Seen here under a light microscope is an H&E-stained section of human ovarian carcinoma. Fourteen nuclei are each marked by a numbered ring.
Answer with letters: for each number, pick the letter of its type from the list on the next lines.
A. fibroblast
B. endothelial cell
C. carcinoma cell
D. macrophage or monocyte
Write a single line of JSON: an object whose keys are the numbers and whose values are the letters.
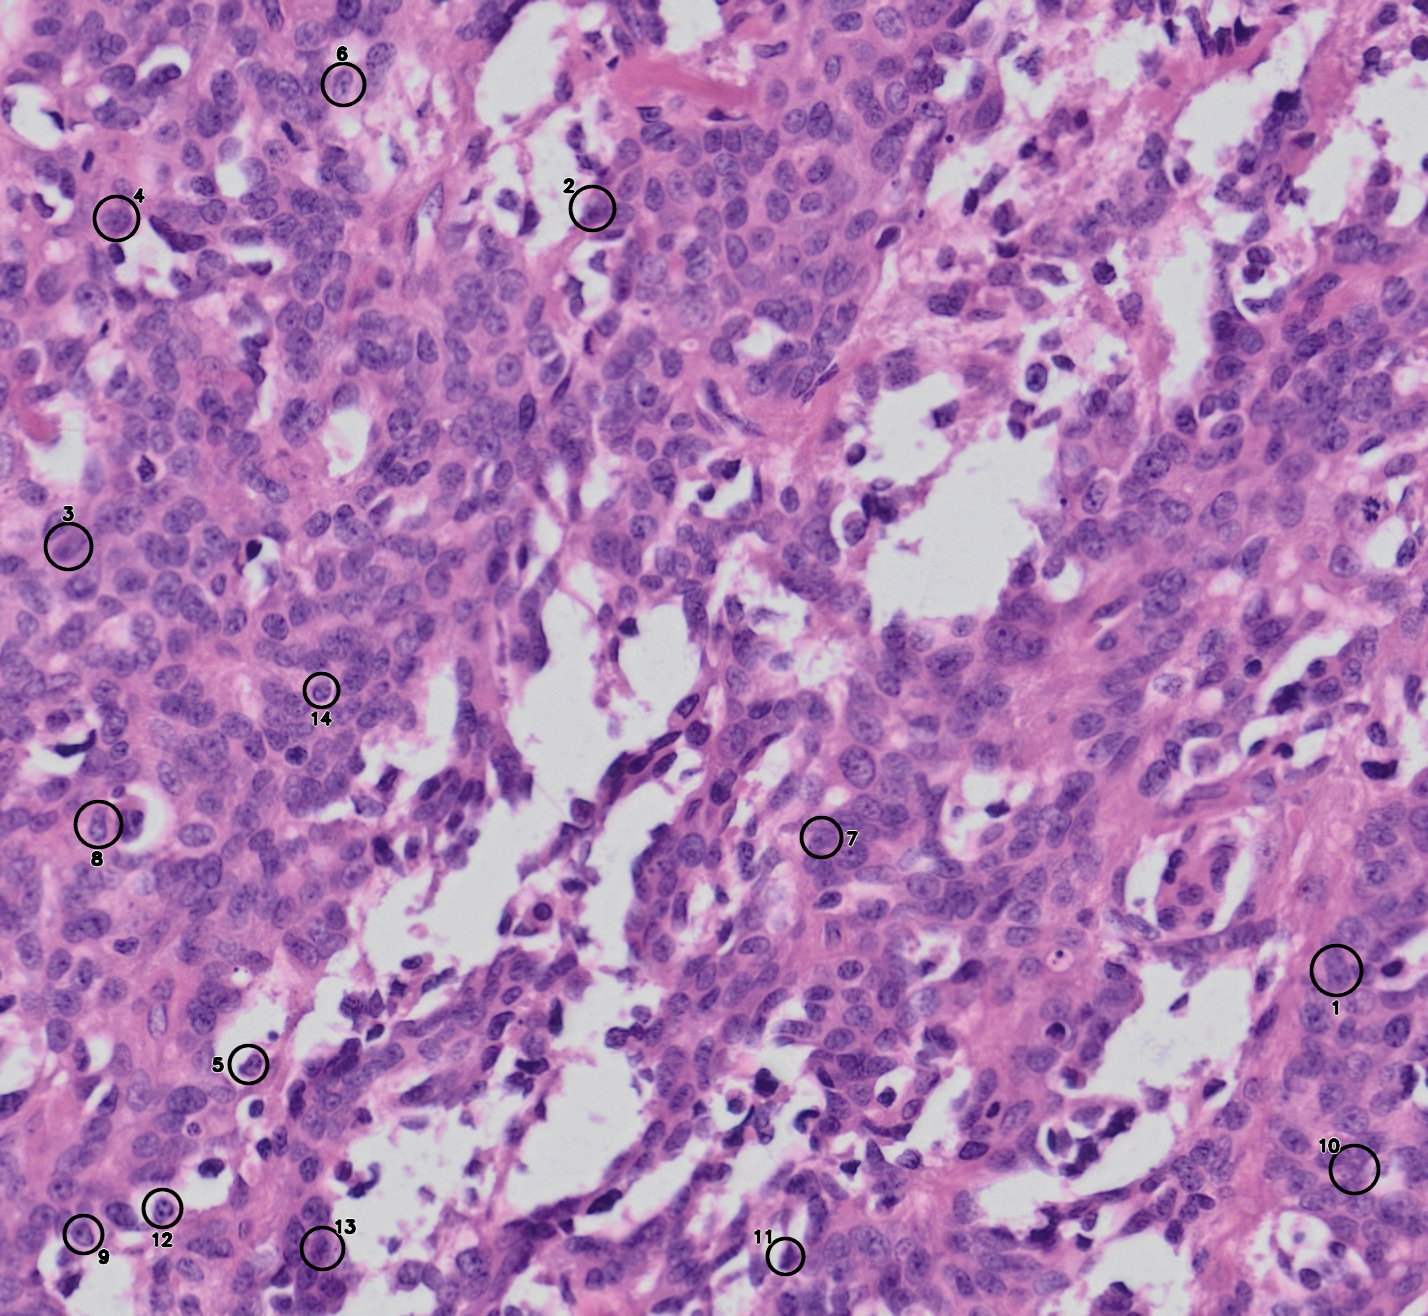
{"1": "C", "2": "C", "3": "C", "4": "C", "5": "D", "6": "D", "7": "C", "8": "D", "9": "D", "10": "C", "11": "C", "12": "D", "13": "C", "14": "D"}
